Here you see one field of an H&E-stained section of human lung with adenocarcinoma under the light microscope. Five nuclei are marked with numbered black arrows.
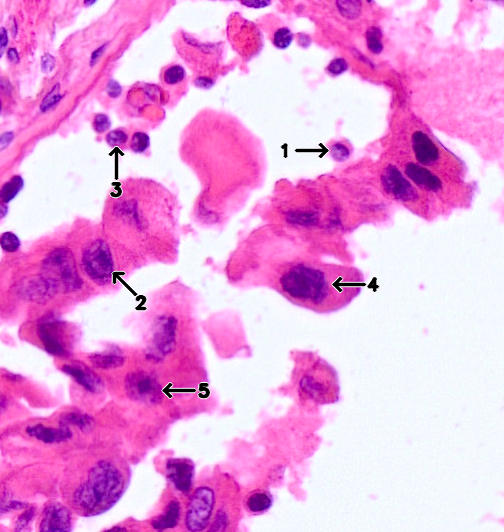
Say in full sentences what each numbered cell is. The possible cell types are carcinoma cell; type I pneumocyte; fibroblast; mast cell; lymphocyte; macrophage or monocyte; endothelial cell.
Cells 1 and 3 are lymphocytes. Cells 2, 4 and 5 are carcinoma cells.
